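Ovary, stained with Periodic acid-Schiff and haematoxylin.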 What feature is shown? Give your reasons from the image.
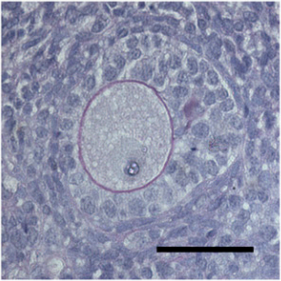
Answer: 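A large round pale cell with a pink-rimmed border lies in the centre. It is surrounded by several layers of small cells with dark purple nuclei. Flattened cells encircle the whole cluster. That points to this answer: follicles.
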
